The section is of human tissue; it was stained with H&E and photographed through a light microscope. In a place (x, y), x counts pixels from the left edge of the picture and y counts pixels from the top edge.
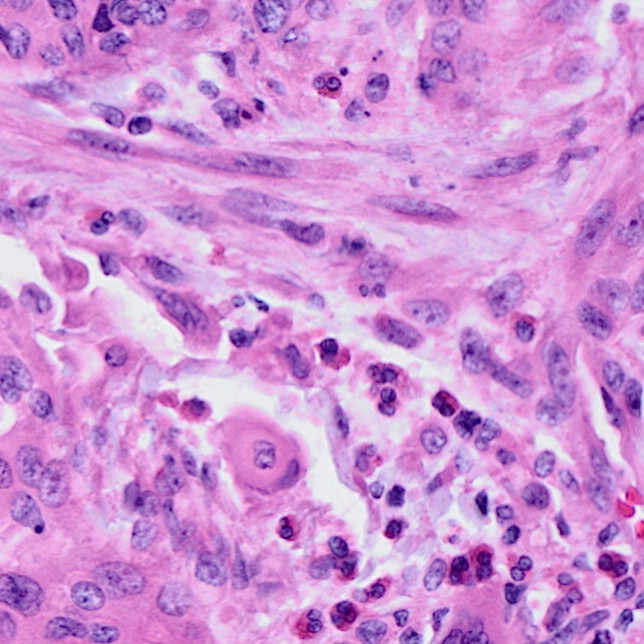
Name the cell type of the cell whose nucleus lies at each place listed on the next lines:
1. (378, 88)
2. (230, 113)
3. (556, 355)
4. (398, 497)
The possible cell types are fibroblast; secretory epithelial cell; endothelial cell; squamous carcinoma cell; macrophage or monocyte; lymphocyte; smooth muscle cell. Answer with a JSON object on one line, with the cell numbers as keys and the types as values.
{"1": "macrophage or monocyte", "2": "macrophage or monocyte", "3": "endothelial cell", "4": "lymphocyte"}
